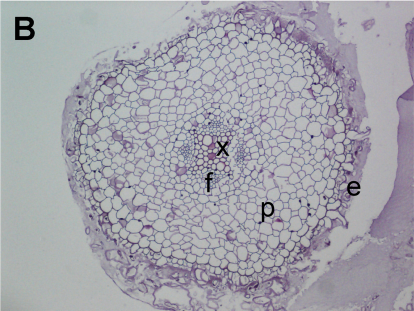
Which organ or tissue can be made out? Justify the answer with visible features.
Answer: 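Roots. A round cross-section with a small central vascular cylinder. A broad zone of many layers of rounded thin-walled cells surrounds the centre. No central pith and no ring of vascular bundles.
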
